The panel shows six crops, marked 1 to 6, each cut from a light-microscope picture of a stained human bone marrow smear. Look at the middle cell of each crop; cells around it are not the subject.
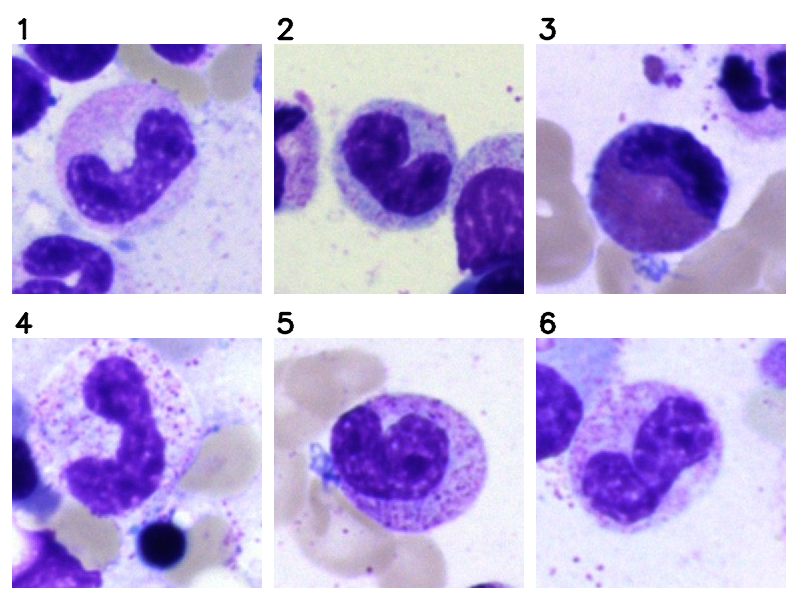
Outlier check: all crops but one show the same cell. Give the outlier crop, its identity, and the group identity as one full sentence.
Found in all crops but one are band neutrophils; the exception, crop 3, contains an eosinophil.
